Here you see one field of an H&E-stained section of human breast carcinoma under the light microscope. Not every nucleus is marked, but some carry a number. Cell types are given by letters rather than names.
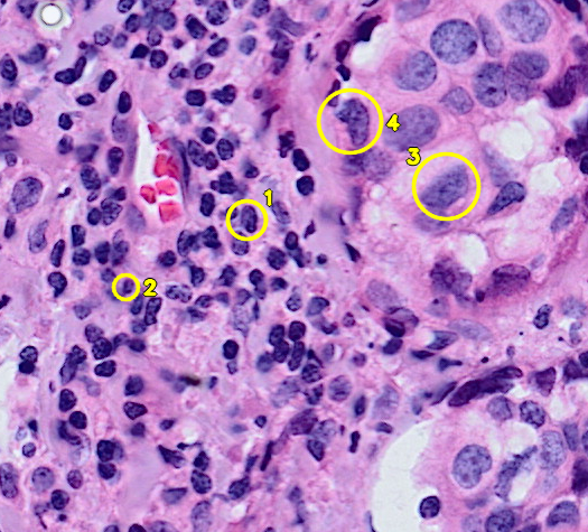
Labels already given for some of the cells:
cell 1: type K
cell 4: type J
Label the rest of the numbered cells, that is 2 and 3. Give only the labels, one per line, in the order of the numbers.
type K
type J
